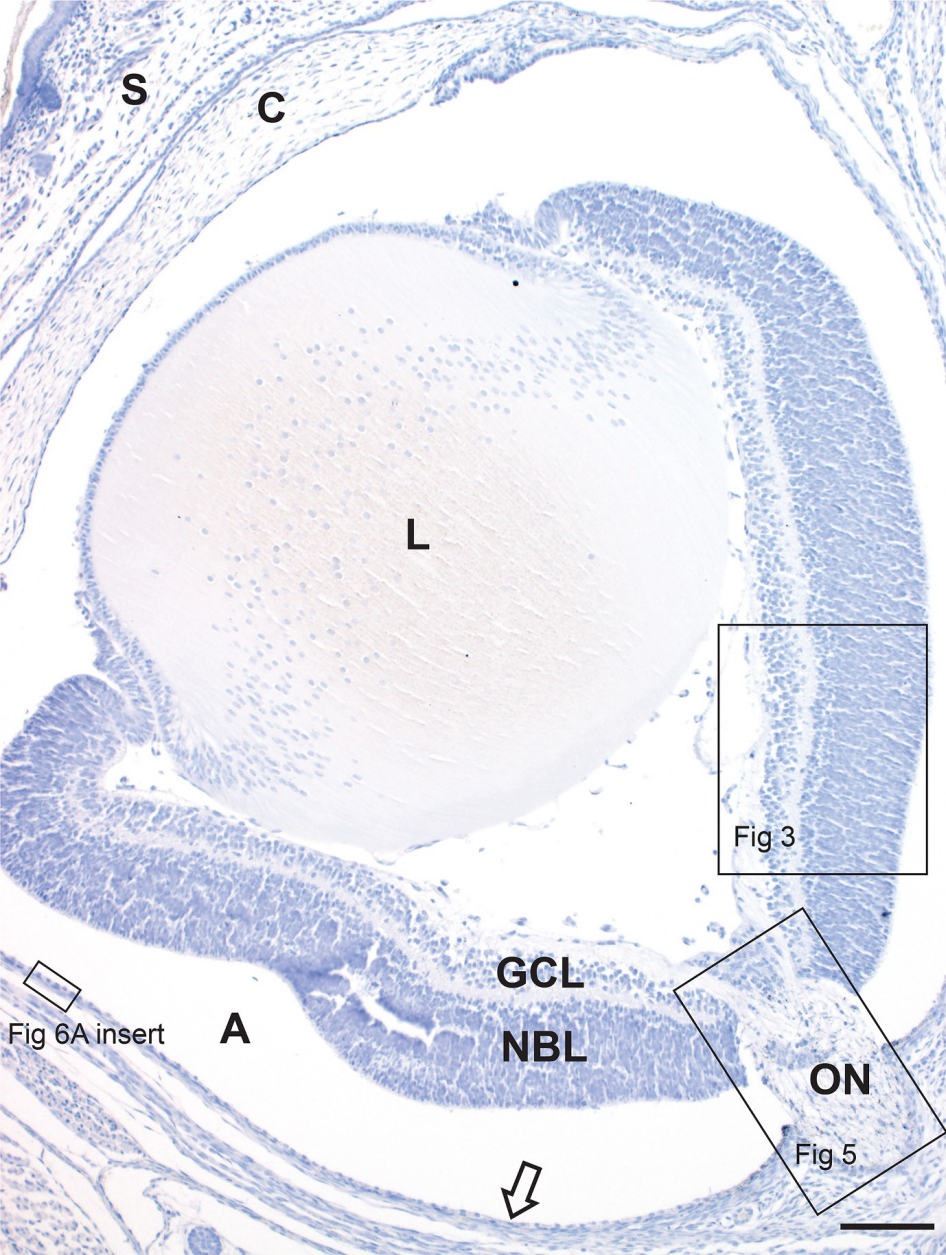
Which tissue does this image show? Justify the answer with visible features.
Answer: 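Eye. A nerve leaves the back of the cup at the lower right. The whole is covered anteriorly by thin layered tissue and skin.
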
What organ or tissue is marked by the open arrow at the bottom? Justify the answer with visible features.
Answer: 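The open arrow points to a thin cell layer forming the outer wall of the eye cup. This thin layer is separated from the thick neural retina by a wide clear gap.
Answer: retinal pigment epithelium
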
